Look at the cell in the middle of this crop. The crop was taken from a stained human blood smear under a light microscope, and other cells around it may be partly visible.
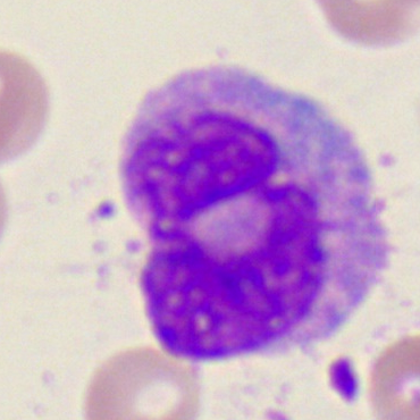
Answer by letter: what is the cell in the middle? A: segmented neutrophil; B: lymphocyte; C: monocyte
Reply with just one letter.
C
